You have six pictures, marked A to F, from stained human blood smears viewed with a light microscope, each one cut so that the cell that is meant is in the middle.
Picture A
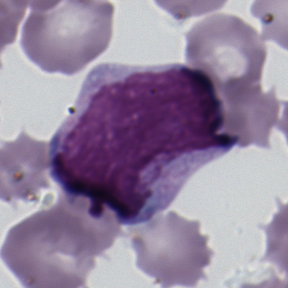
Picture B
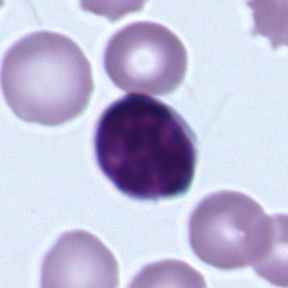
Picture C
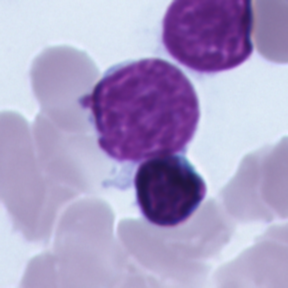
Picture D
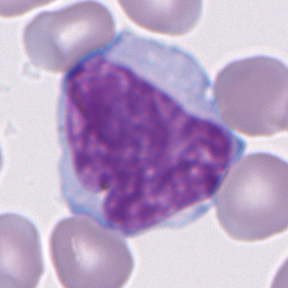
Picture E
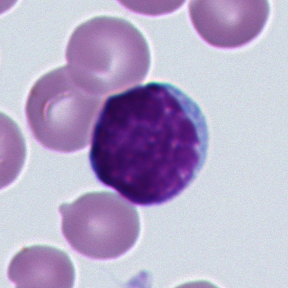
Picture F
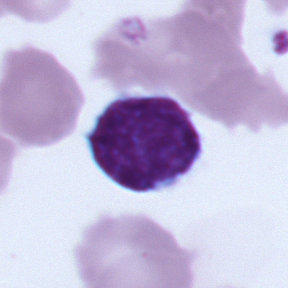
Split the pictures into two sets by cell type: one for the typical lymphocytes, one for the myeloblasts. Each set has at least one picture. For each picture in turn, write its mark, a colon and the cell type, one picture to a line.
A: myeloblast
B: typical lymphocyte
C: myeloblast
D: myeloblast
E: typical lymphocyte
F: typical lymphocyte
